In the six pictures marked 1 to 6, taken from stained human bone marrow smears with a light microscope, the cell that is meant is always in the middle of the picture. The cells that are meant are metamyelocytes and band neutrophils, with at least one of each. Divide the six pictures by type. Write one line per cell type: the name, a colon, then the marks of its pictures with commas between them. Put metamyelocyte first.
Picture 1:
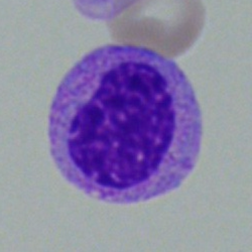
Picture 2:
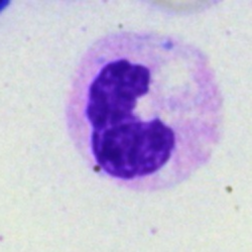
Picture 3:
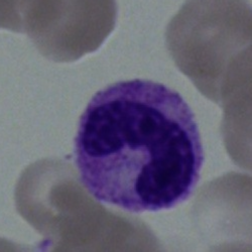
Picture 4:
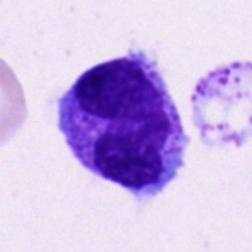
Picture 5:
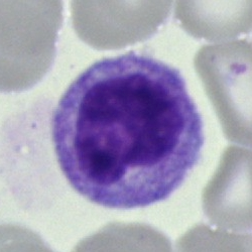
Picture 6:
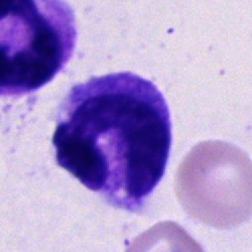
metamyelocyte: 1, 4, 5
band neutrophil: 2, 3, 6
